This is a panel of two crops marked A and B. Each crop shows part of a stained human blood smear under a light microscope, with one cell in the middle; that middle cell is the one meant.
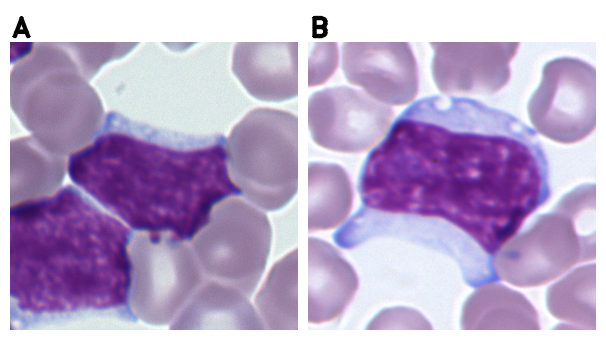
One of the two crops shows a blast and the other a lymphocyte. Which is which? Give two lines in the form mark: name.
A: lymphocyte
B: blast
